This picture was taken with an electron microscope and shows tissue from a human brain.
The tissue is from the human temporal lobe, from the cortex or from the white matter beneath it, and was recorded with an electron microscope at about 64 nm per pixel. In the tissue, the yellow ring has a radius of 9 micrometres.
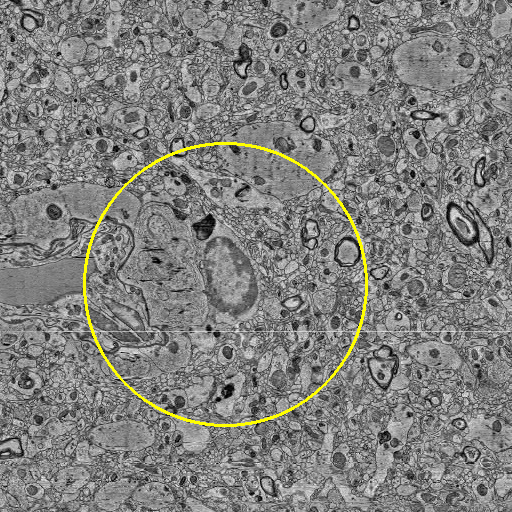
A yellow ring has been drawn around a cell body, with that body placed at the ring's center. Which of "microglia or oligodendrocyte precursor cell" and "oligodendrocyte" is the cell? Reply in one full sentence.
In this picture, an oligodendrocyte is the cell at the center of the yellow ring.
